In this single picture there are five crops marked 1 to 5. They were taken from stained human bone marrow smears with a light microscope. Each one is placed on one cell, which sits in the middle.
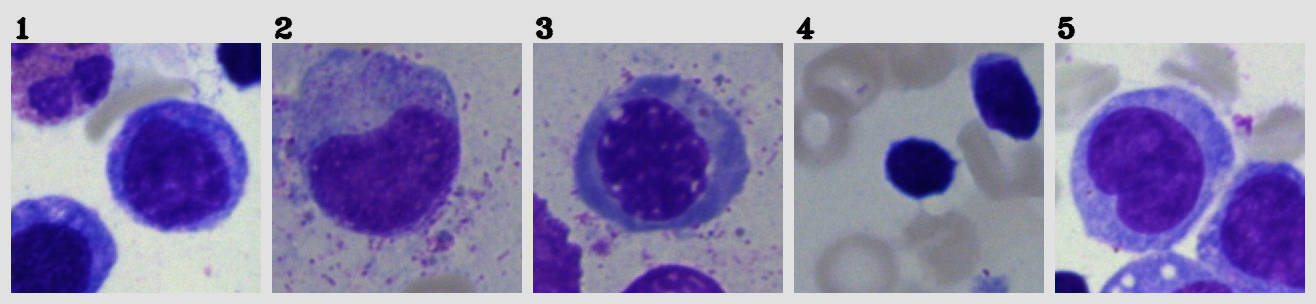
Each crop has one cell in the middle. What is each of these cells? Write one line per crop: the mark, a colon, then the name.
1: blast
2: myelocyte
3: normoblast
4: lymphocyte
5: monocyte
